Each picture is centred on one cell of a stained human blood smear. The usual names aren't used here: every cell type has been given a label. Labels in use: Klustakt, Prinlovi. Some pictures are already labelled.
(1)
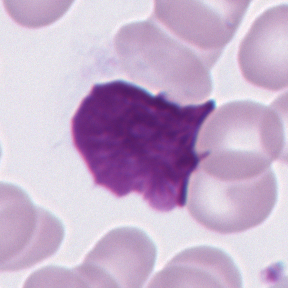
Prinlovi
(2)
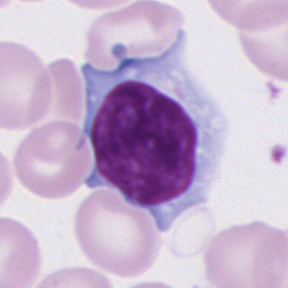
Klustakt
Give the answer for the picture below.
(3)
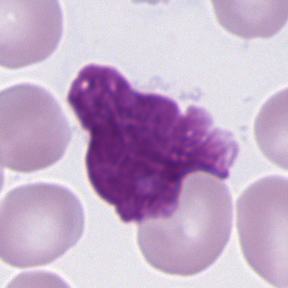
Prinlovi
